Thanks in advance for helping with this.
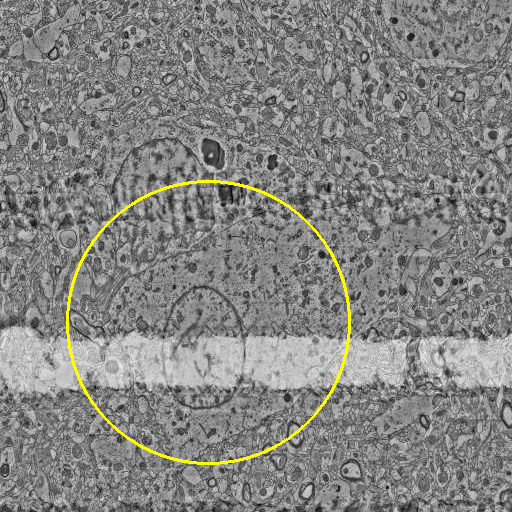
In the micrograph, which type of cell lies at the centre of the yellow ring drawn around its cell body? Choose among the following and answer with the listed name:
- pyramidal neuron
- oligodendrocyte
pyramidal neuron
